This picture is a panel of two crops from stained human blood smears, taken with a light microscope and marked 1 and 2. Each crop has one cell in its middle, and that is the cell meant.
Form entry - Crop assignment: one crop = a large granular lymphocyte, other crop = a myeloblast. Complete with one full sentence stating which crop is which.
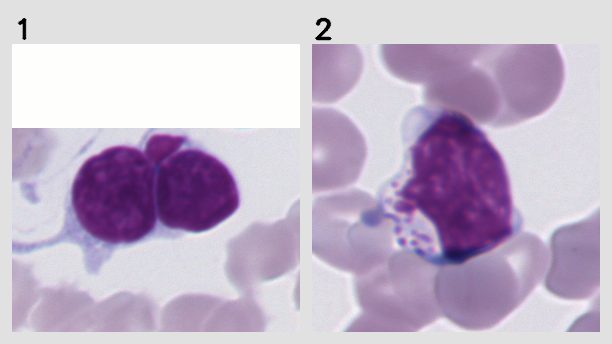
So, crop 1 is a myeloblast, and crop 2 is a large granular lymphocyte.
